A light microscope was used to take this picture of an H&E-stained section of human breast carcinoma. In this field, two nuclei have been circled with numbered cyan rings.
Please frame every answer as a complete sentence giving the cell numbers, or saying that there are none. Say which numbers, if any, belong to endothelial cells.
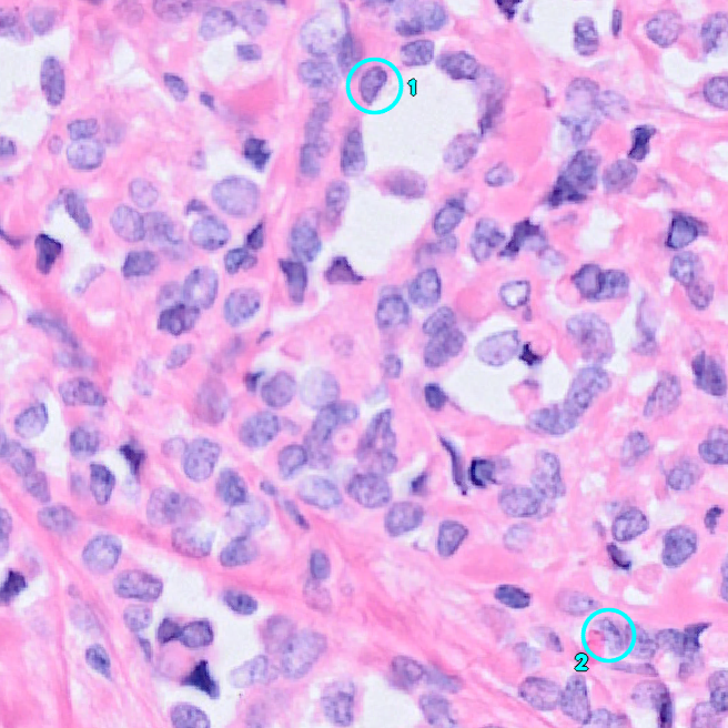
In this set of numbered cells, only cell 2 is an endothelial cell.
